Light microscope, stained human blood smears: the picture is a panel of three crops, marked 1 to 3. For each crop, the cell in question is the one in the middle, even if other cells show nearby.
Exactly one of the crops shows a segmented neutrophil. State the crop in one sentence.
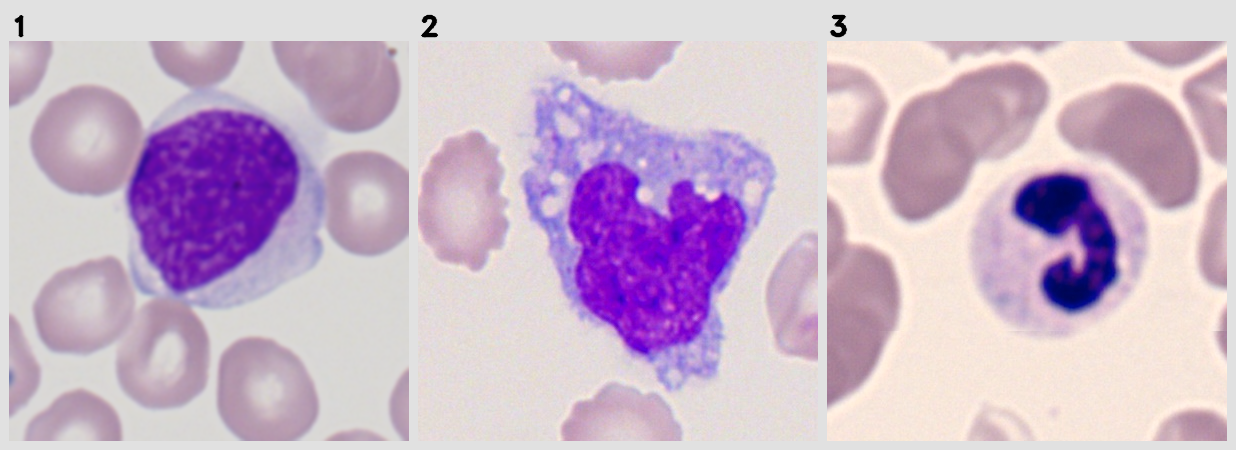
Of the cells presented, the one in crop 3 is a segmented neutrophil.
